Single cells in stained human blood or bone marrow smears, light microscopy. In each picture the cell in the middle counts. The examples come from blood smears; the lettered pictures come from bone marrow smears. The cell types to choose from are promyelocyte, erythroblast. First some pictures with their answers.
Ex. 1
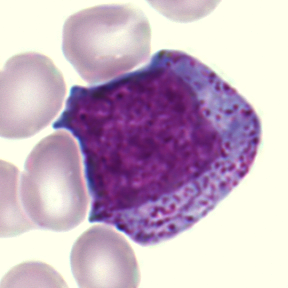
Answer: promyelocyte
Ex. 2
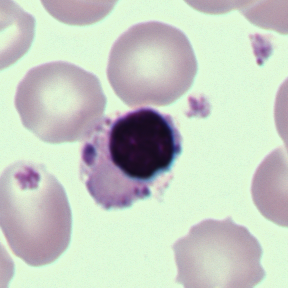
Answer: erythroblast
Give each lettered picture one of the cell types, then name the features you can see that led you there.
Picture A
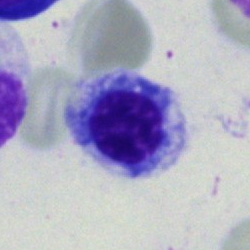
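erythroblast. Evidence: The chromatin is dark purple and coarsely clumped.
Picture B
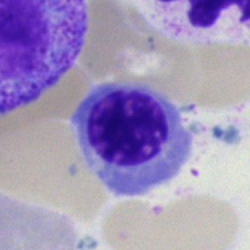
erythroblast. Evidence: The chromatin is dark purple and coarsely clumped, with paler patches between the clumps.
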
